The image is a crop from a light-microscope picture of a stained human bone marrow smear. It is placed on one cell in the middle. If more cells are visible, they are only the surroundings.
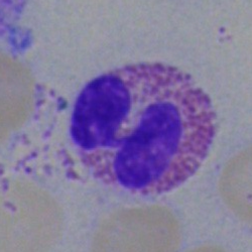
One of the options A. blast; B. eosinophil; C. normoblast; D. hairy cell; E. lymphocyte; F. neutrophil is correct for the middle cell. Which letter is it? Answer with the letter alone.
B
